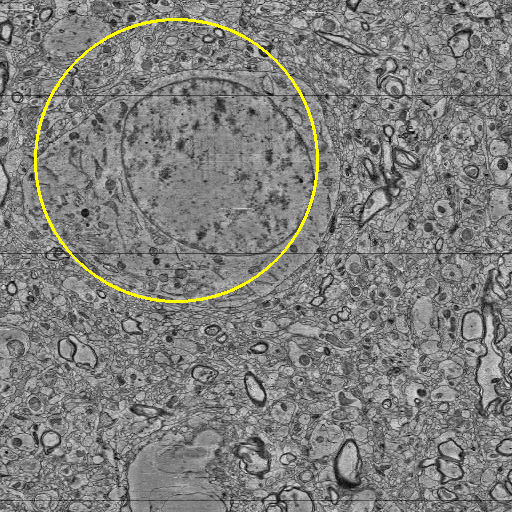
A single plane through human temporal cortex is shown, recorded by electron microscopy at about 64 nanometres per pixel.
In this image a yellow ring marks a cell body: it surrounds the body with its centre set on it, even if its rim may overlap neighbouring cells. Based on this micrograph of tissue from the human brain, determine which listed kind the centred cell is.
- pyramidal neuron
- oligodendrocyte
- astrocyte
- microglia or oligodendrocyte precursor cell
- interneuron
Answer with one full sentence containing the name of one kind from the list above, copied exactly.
It is a pyramidal neuron whose body the yellow ring encloses at its centre.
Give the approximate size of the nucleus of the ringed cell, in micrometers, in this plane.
The nucleus works out at approximately 14 by 11 micrometres in this plane.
